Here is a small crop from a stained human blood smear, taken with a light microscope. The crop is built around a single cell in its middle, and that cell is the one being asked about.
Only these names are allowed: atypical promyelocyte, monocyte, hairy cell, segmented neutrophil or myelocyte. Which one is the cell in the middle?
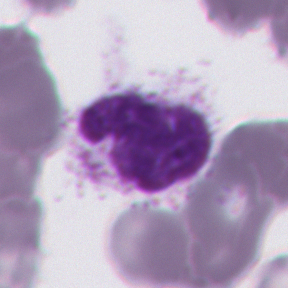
segmented neutrophil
